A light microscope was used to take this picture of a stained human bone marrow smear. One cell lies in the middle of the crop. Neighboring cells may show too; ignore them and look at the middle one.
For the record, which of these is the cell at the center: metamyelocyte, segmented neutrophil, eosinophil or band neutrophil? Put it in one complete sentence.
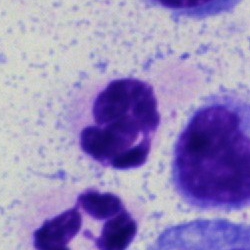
Centrally within this crop lies a segmented neutrophil.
